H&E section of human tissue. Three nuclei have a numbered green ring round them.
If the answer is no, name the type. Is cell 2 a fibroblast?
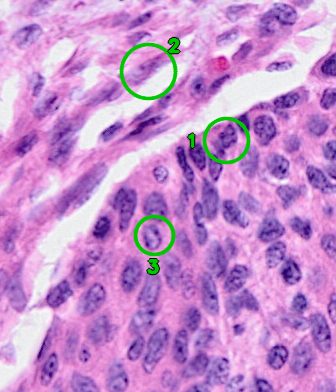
Yes.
